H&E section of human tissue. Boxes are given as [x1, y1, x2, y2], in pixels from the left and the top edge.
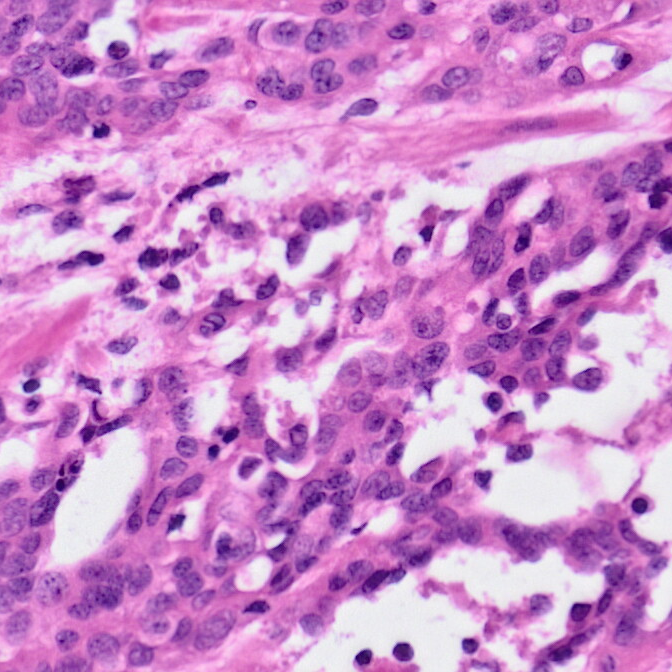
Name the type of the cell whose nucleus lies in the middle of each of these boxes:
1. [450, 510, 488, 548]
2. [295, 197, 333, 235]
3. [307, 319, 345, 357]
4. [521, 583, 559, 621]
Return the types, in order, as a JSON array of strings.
["carcinoma cell", "carcinoma cell", "carcinoma cell", "macrophage or monocyte"]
